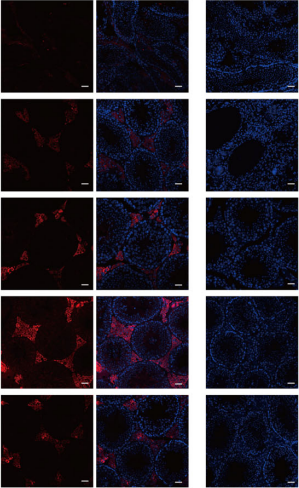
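These are cross-sections of testis in which the rounded seminiferous tubules are outlined by rings of densely packed blue nuclei. The red signal lies mostly in the irregular, wedge-shaped spaces between neighbouring tubules rather than inside the tubule walls. In several rows the red patches are large and bright.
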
